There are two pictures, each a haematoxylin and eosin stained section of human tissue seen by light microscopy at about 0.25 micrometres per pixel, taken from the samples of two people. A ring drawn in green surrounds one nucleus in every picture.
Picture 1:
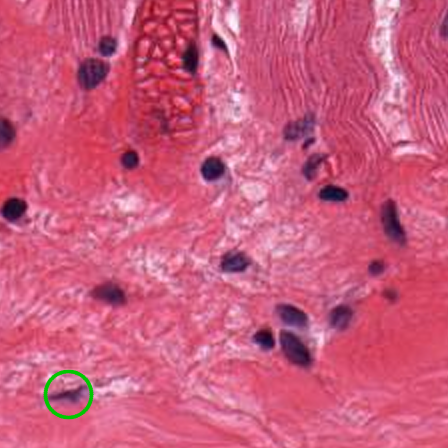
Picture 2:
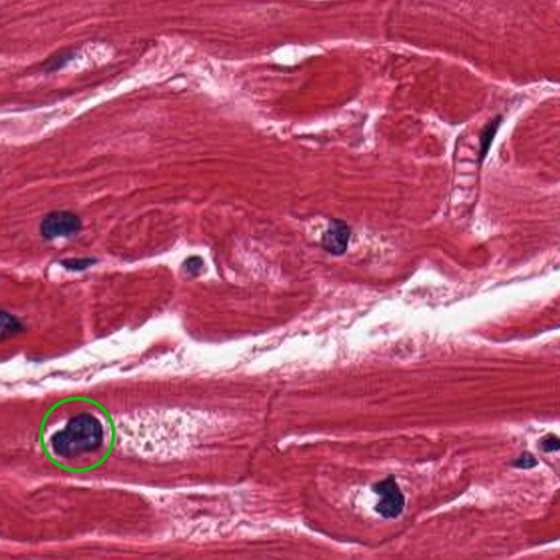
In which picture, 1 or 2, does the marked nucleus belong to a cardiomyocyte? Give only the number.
2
